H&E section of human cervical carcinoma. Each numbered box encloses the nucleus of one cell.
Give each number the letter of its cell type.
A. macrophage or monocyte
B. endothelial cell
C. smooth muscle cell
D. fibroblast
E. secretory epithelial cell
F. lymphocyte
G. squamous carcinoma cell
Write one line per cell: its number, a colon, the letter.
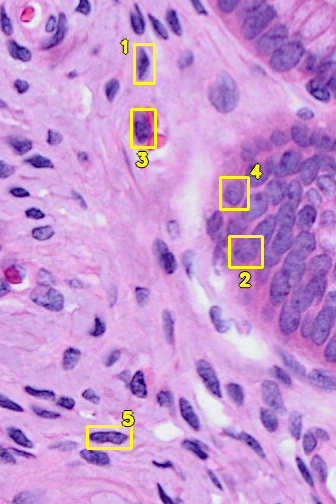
1: D
2: E
3: B
4: E
5: D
